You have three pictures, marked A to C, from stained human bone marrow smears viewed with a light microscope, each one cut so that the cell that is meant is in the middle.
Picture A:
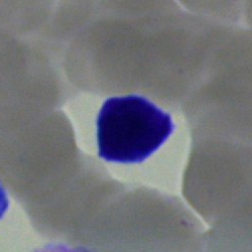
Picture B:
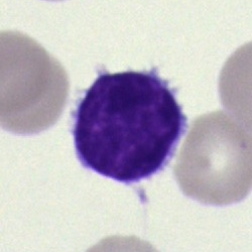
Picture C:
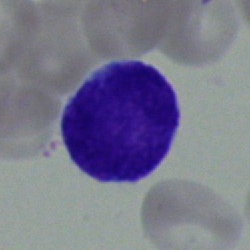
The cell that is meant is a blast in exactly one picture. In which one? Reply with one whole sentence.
The picture with the blast is C.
